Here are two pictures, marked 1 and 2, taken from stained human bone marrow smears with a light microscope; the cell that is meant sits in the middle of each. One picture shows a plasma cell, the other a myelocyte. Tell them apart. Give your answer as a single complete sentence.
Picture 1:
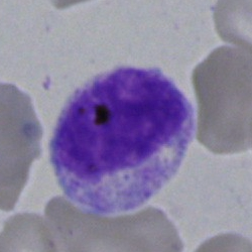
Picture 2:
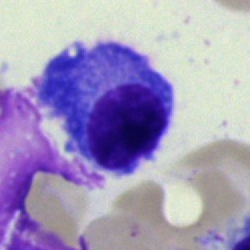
It is picture 1 that shows a myelocyte, and picture 2 that shows a plasma cell.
